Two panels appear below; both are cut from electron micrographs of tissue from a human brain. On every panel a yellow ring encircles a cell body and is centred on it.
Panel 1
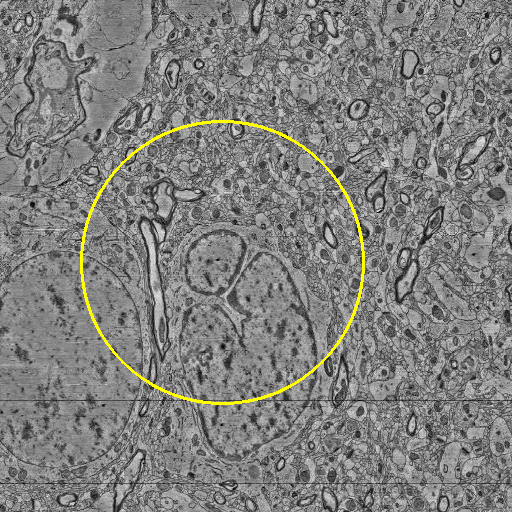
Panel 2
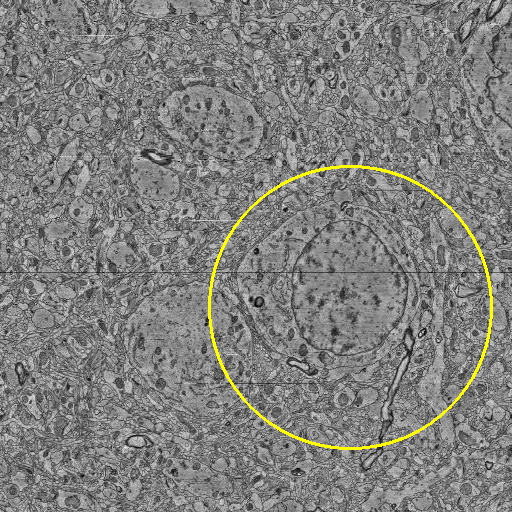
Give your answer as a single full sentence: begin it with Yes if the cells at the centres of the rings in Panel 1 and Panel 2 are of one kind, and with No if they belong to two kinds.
No, the cells in the middle of the rings in Panels 1 and 2 are of two kinds.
